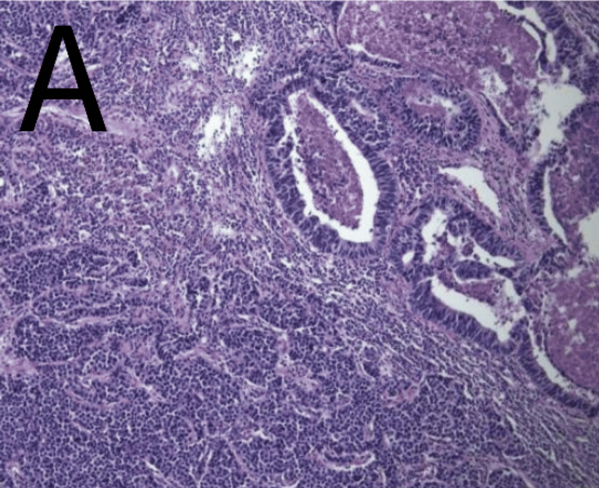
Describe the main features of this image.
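This is tumor tissue made of two kinds of growth lying side by side. On the left, crowded sheets and nests of small cells with dark purple nuclei and very little cytoplasm are packed together with scant intervening stroma. On the right, irregular glands are lined by tall columnar cells with elongated, crowded nuclei, and their lumens hold pale pink material. A band of cellular stroma separates the solid sheets from the glands. The overall picture is of a malignant tumor with no normal tissue architecture preserved.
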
